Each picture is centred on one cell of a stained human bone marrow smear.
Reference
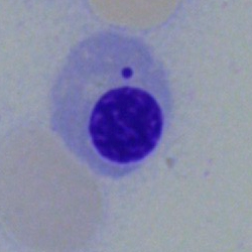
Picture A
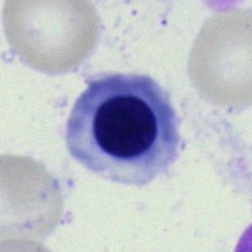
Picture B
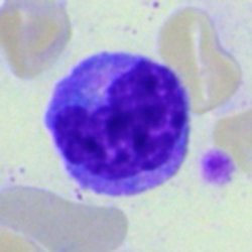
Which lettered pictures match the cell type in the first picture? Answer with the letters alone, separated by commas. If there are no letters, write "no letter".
A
